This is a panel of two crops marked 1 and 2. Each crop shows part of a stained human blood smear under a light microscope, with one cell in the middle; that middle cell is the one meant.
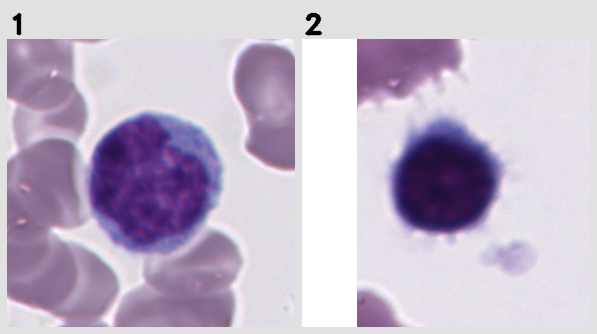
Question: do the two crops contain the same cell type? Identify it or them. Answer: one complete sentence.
No, crop 1 shows a monocyte, with a hairy cell shown in crop 2.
